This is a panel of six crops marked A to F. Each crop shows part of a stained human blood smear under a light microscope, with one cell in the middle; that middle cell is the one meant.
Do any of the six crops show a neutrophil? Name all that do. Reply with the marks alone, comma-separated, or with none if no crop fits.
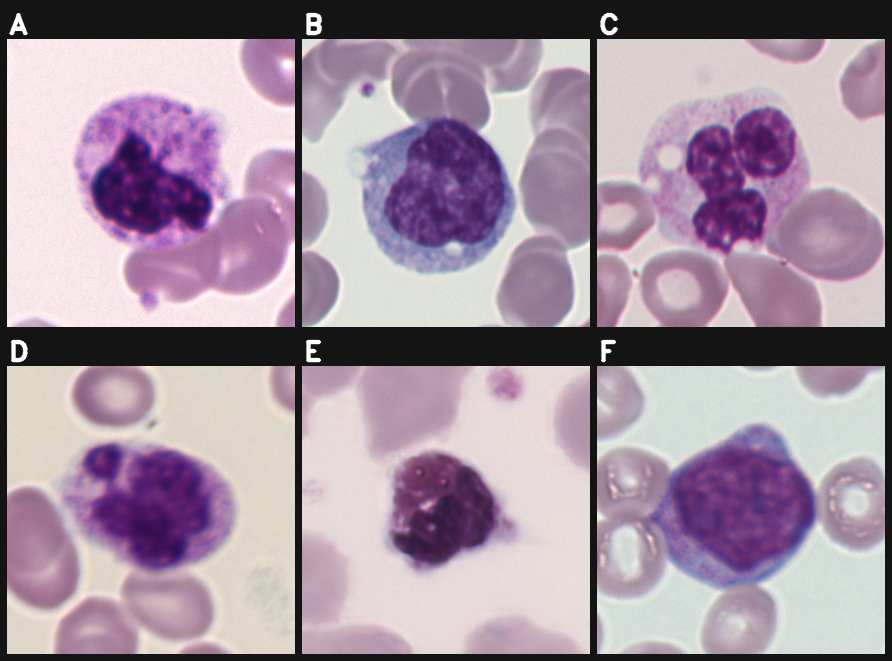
A, C, D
